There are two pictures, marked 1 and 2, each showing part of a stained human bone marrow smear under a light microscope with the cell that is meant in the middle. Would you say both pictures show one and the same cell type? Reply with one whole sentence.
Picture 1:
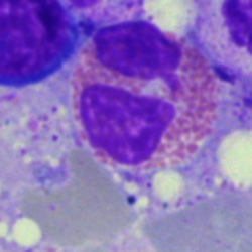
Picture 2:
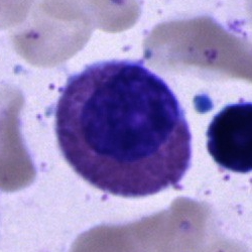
Yes, both are eosinophils.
